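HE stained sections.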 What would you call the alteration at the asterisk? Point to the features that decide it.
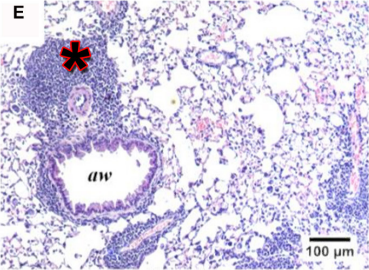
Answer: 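A dense mass of small cells with dark blue nuclei lies beside the airway. The mass displaces the open alveolar tissue.
Conclusion: infiltration of immune cells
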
